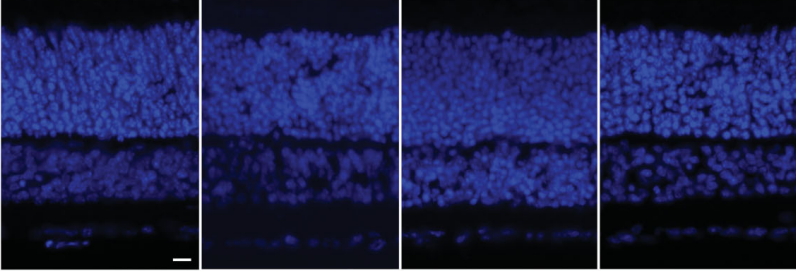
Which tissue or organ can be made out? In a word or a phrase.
Neuronal retina.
